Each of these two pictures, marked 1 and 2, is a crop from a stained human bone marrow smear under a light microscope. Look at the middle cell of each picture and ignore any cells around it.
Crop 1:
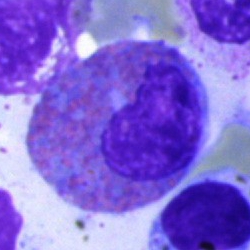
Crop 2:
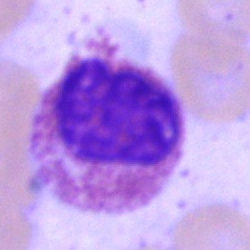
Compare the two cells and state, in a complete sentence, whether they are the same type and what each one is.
Yes, the centre of both crops is taken up by eosinophils.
